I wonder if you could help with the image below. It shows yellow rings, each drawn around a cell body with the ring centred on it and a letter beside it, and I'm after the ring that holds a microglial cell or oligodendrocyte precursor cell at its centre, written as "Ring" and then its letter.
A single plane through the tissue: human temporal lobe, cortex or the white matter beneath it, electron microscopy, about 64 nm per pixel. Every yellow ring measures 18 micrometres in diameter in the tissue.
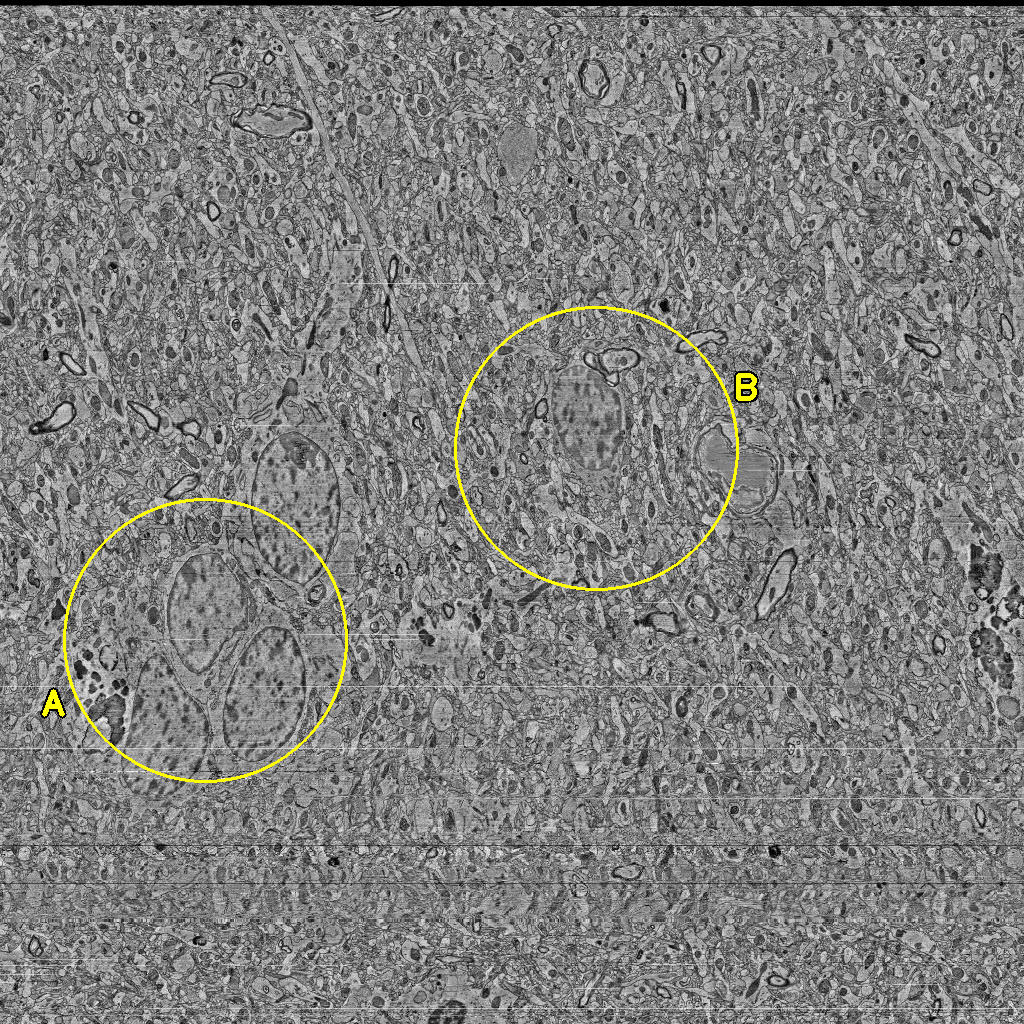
Ring A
